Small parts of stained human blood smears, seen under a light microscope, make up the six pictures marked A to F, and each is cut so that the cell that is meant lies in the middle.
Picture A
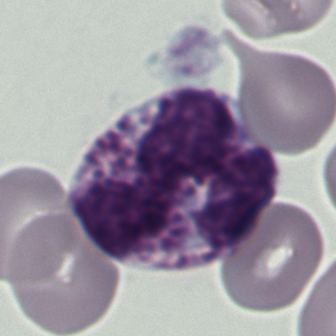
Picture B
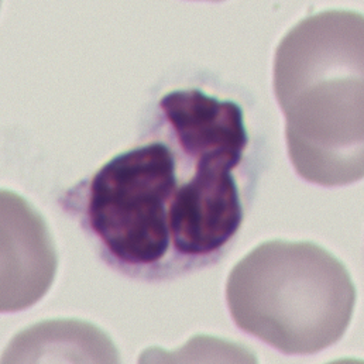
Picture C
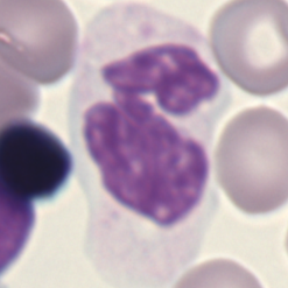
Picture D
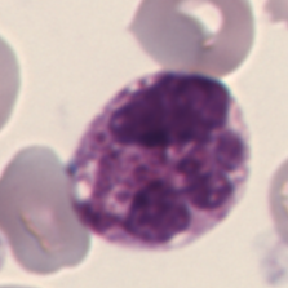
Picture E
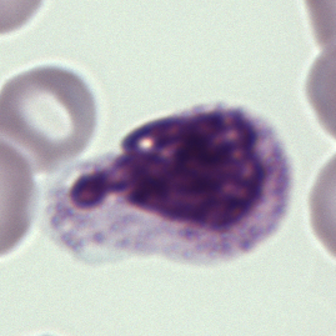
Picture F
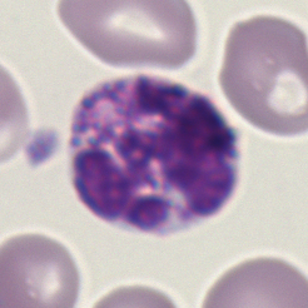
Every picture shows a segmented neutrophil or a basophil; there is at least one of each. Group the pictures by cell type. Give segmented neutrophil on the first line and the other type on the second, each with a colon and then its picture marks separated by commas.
segmented neutrophil: B, C, E
basophil: A, D, F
